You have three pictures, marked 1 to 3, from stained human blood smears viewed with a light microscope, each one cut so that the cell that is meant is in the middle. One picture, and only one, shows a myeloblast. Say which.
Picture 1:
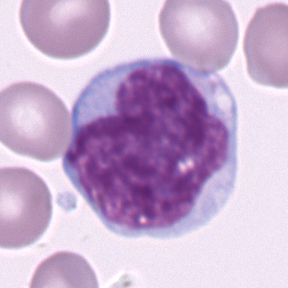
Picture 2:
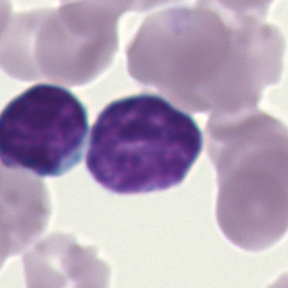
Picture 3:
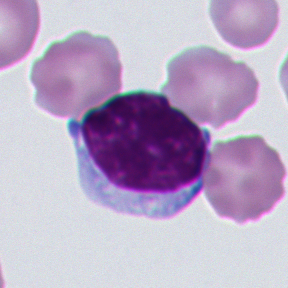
1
